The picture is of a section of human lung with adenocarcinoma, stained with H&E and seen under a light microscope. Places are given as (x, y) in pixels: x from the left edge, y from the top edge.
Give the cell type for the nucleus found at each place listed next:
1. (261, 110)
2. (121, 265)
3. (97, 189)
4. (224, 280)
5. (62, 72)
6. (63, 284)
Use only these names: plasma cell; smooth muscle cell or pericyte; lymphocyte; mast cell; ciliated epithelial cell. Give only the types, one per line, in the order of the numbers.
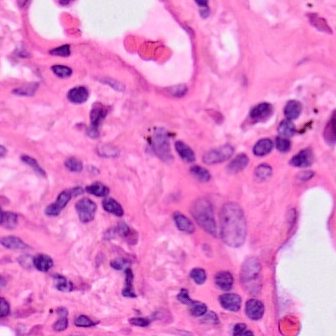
plasma cell
plasma cell
lymphocyte
lymphocyte
mast cell
plasma cell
